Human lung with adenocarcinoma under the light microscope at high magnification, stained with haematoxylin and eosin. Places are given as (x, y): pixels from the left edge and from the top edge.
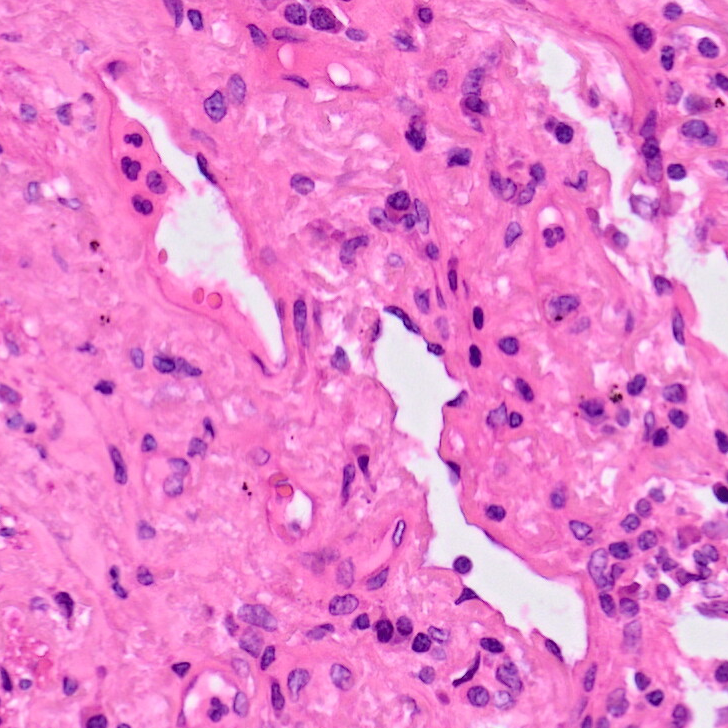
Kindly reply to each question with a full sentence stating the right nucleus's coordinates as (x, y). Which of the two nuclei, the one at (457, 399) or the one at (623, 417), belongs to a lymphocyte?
Only the nucleus at (623, 417), of the two, belongs to a lymphocyte.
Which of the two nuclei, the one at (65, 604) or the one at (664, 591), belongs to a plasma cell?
The member of the pair belonging to a plasma cell is the nucleus at (65, 604).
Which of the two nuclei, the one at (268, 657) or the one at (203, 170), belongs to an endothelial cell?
The nucleus at (203, 170), rather than the other one, belongs to an endothelial cell.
